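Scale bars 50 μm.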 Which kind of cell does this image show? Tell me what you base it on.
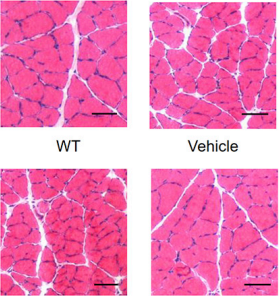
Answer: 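Muscle fiber. Tightly packed polygonal profiles stain pink. Small dark blue nuclei lie at the edges of the profiles. Thin pale spaces separate neighbouring profiles.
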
